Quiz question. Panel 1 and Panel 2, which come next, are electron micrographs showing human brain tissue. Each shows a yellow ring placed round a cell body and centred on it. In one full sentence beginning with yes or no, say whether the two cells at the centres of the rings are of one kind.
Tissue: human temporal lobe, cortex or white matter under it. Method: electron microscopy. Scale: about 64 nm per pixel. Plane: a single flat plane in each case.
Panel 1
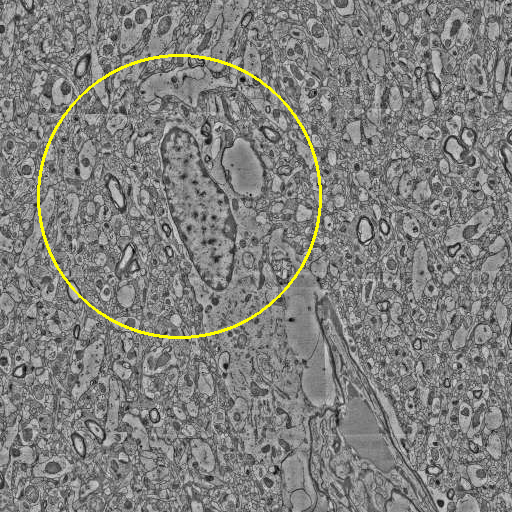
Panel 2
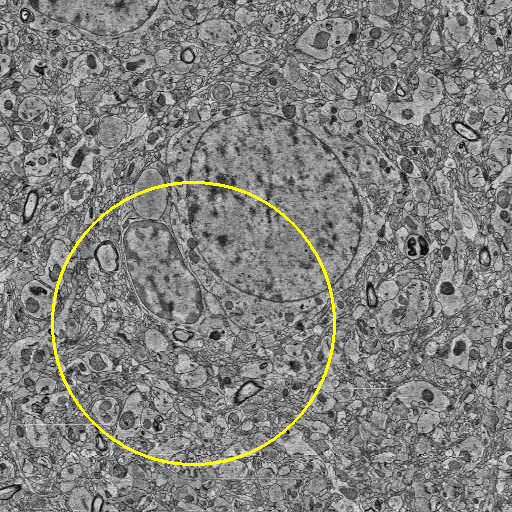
Yes, Panel 1 and Panel 2 show one kind of cell at the centre of the ring.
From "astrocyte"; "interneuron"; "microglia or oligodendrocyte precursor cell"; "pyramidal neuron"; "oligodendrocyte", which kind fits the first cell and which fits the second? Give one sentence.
Each one of the two ringed cells is a microglial cell or oligodendrocyte precursor cell.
